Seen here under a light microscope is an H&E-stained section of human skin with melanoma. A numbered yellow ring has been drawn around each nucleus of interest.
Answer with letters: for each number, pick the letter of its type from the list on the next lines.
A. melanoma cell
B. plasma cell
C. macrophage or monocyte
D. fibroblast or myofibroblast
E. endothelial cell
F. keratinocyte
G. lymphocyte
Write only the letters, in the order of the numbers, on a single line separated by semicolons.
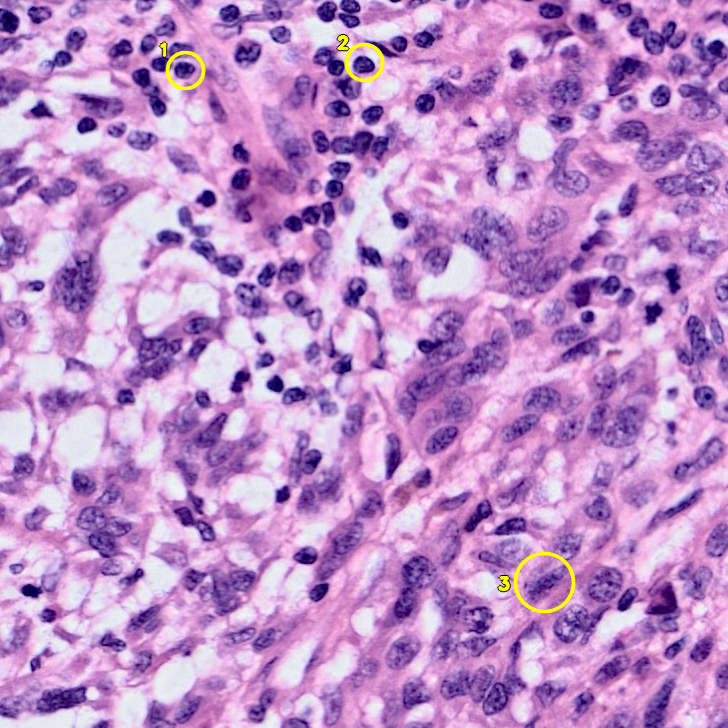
G; G; A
